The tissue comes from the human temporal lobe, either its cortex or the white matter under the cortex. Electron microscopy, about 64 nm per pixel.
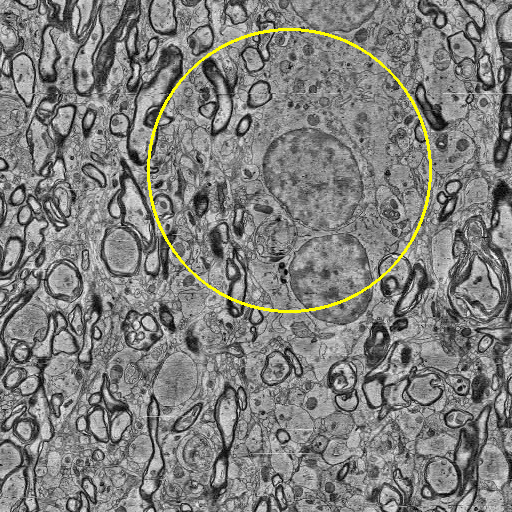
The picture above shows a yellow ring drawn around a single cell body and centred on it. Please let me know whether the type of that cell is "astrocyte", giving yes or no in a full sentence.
No, the cell at the centre of the ring above has a different type.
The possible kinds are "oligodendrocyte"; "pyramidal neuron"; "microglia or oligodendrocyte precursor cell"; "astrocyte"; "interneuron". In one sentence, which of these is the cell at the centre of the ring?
The cell at the middle of the ring is an oligodendrocyte.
